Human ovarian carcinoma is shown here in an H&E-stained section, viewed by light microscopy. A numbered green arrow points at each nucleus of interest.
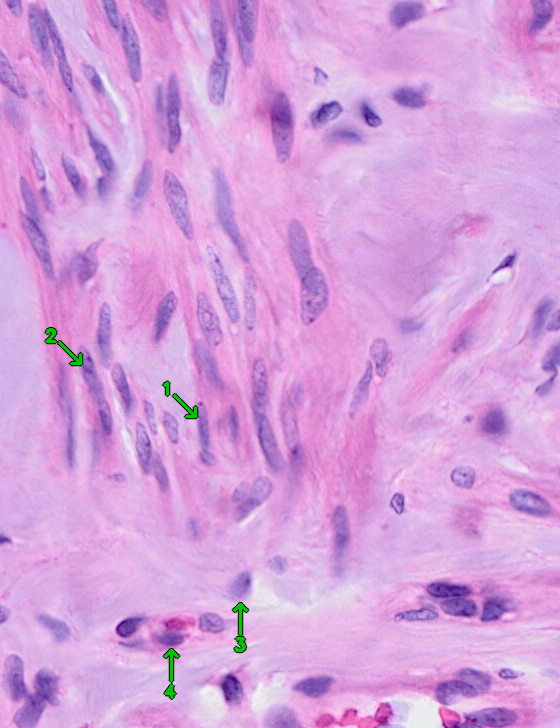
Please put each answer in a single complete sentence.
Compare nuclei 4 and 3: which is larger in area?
Number 3 is larger; its area is about 1.5 times that of number 4.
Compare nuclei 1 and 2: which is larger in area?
Number 2 is larger; its area is about 1.5 times that of number 1.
